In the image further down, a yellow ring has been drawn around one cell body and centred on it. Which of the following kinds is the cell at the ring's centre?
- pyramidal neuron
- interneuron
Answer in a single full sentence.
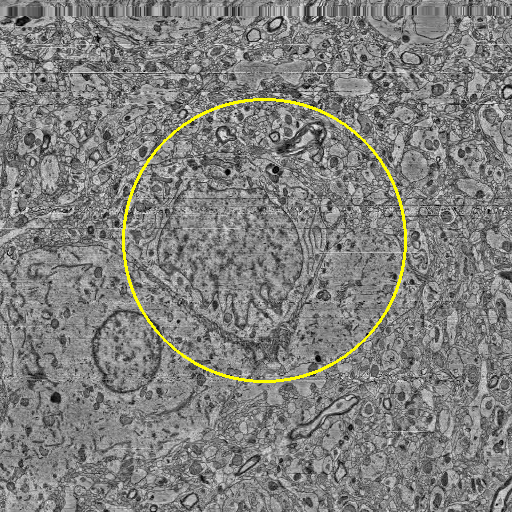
In the picture, the cell sitting at the centre of the yellow ring is an interneuron.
